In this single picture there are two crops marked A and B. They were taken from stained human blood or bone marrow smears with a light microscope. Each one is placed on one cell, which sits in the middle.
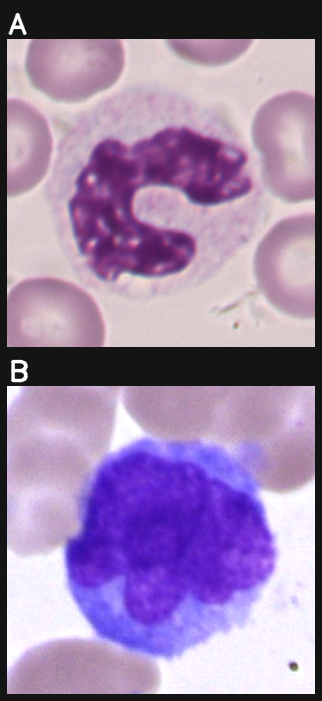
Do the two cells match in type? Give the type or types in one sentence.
No, while a band neutrophil is found in crop A, a monocyte is found in crop B.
